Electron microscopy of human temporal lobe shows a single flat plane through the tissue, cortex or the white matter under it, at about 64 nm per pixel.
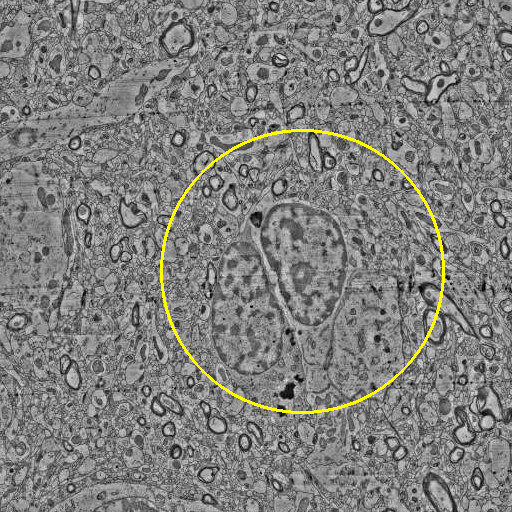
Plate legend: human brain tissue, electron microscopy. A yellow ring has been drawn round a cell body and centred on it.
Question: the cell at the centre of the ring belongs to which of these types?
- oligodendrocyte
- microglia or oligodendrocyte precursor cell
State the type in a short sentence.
The cell in the middle of the ring is a microglial cell or oligodendrocyte precursor cell.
